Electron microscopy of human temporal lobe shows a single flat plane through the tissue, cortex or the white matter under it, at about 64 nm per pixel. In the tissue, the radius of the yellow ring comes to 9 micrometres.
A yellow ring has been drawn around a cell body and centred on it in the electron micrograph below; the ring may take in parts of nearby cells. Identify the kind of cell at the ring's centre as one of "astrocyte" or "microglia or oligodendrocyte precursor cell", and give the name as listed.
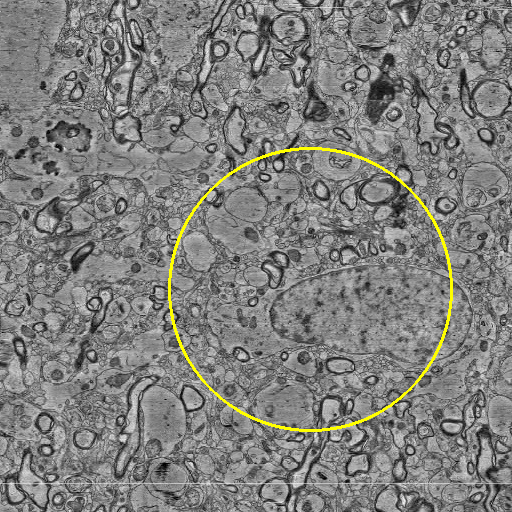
microglia or oligodendrocyte precursor cell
